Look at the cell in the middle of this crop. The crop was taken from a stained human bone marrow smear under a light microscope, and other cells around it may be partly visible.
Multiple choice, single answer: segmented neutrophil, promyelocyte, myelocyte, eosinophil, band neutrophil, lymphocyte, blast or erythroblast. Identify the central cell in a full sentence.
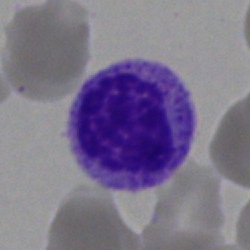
For this crop, the central cell is a myelocyte.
